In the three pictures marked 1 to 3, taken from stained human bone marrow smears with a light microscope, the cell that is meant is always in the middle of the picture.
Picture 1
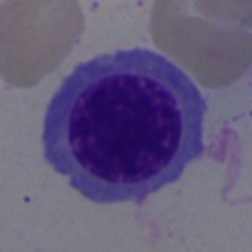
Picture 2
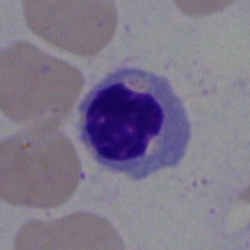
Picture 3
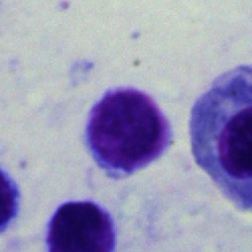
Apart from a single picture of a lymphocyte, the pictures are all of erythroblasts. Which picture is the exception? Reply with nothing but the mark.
3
